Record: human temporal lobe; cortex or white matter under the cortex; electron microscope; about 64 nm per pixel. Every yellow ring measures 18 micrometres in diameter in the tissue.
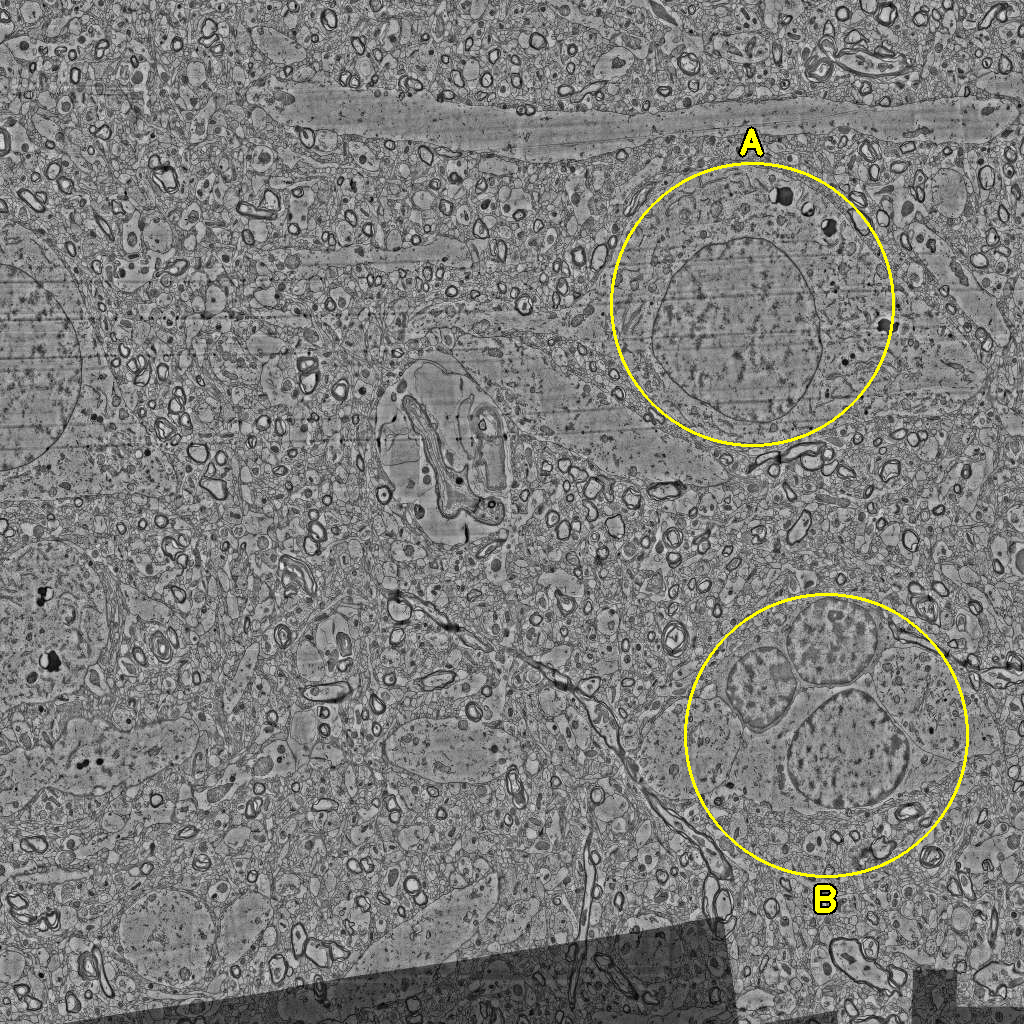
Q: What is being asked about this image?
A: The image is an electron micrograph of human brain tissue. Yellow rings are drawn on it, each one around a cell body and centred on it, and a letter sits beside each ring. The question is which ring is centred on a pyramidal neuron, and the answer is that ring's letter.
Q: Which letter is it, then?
A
